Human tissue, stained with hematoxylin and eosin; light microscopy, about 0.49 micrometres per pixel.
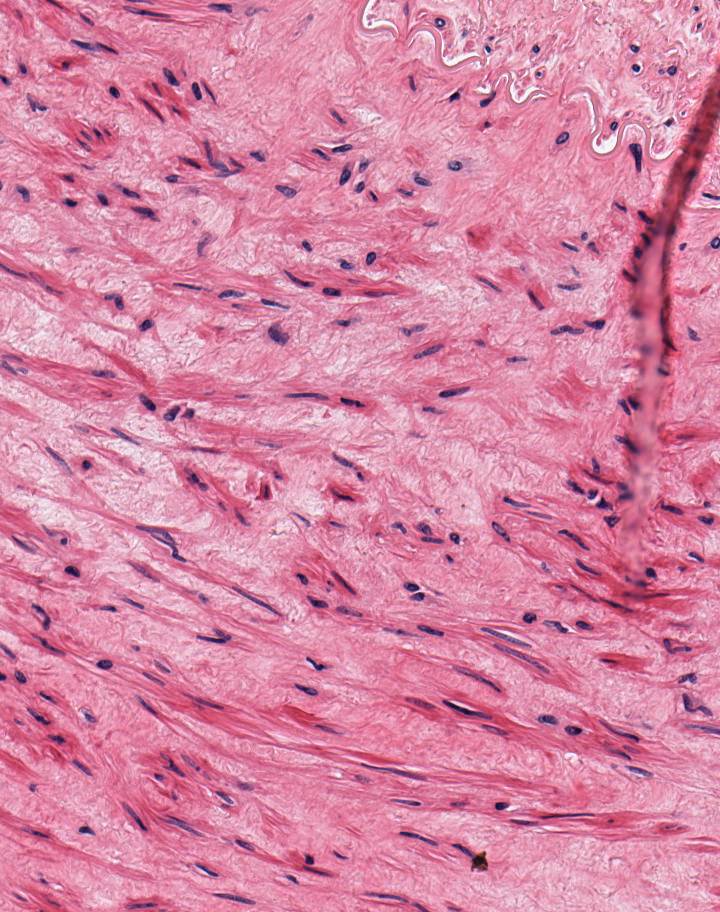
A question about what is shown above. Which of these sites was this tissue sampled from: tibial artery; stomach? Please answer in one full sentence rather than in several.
This piece of tissue was sampled from the tibial artery.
